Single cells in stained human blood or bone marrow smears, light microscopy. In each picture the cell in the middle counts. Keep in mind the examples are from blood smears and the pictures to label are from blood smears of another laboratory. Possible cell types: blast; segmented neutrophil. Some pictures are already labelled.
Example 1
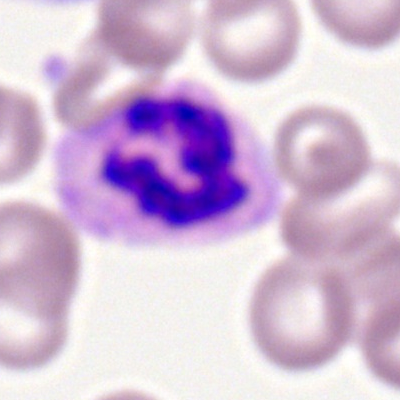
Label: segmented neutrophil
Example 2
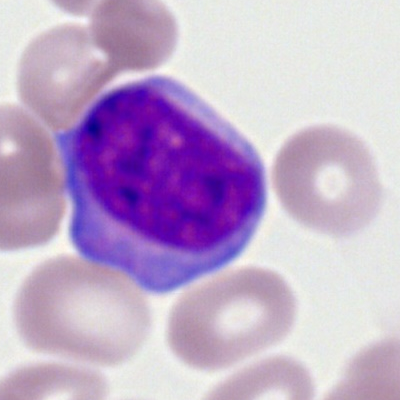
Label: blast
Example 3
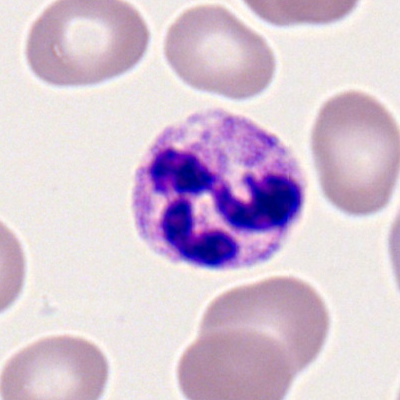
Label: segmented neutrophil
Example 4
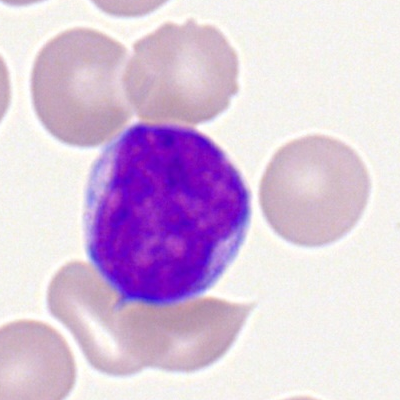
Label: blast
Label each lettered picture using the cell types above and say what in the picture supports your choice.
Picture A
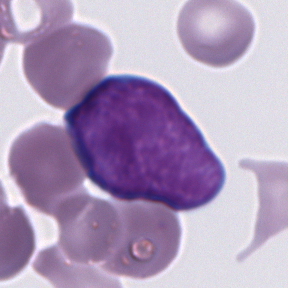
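Answer: blast. The thin rim of cytoplasm is deep blue.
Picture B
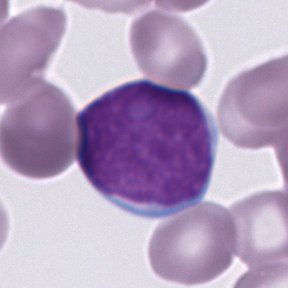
Answer: blast. The cytoplasm forms only a thin rim around the nucleus.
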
